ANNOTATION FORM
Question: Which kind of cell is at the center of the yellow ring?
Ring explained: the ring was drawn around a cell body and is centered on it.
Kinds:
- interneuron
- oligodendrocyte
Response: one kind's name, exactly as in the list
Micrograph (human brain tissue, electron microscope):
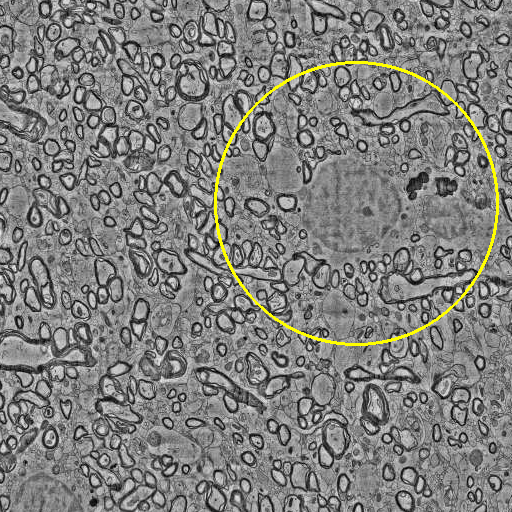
oligodendrocyte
